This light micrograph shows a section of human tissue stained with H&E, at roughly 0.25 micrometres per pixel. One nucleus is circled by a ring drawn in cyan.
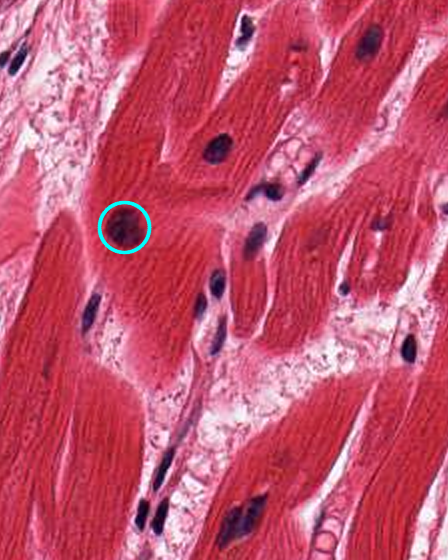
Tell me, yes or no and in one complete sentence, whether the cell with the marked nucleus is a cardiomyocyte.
Yes, the marked nucleus sits in a cardiomyocyte.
